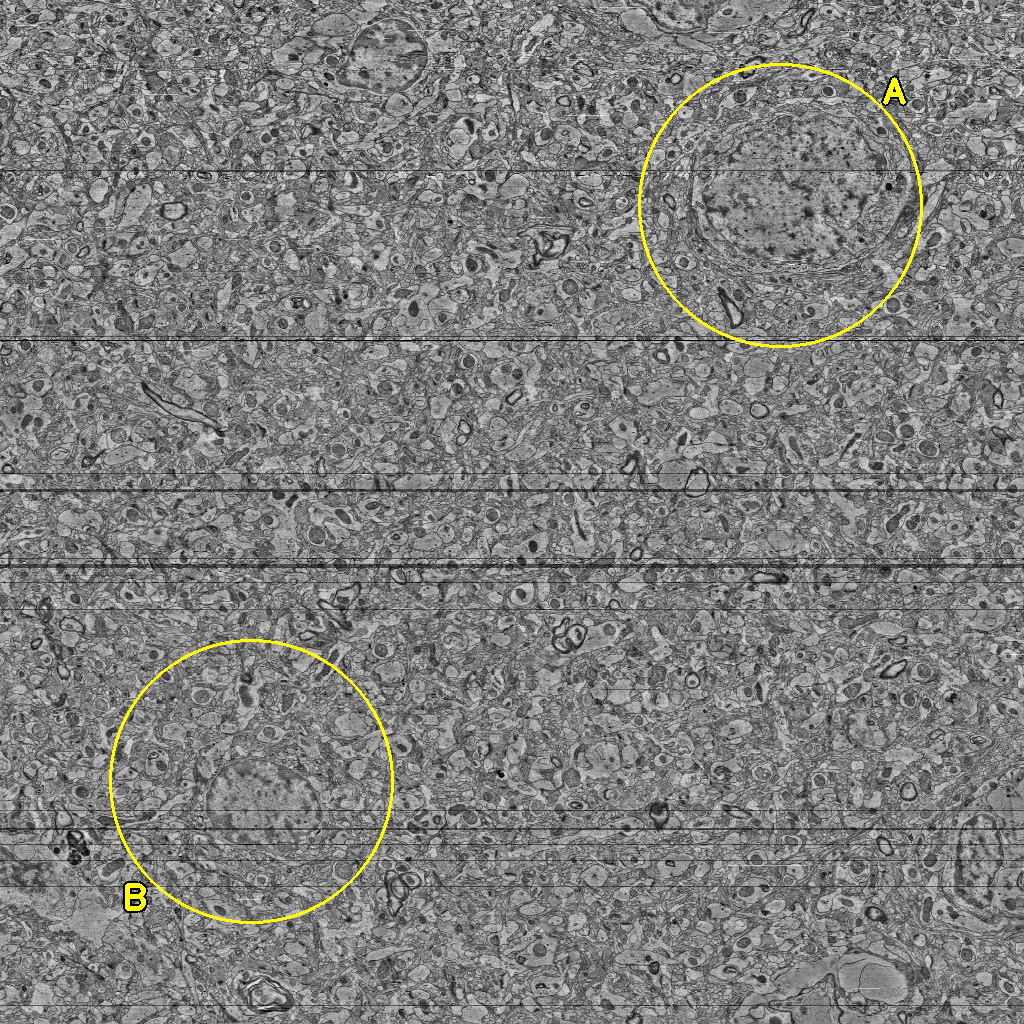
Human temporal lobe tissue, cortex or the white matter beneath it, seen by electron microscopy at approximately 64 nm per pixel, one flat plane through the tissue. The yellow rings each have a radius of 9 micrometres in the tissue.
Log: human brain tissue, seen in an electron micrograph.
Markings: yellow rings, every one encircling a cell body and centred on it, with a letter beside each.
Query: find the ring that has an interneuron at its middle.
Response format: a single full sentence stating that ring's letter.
The letter A marks the ring centred on the cell asked for in the image.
